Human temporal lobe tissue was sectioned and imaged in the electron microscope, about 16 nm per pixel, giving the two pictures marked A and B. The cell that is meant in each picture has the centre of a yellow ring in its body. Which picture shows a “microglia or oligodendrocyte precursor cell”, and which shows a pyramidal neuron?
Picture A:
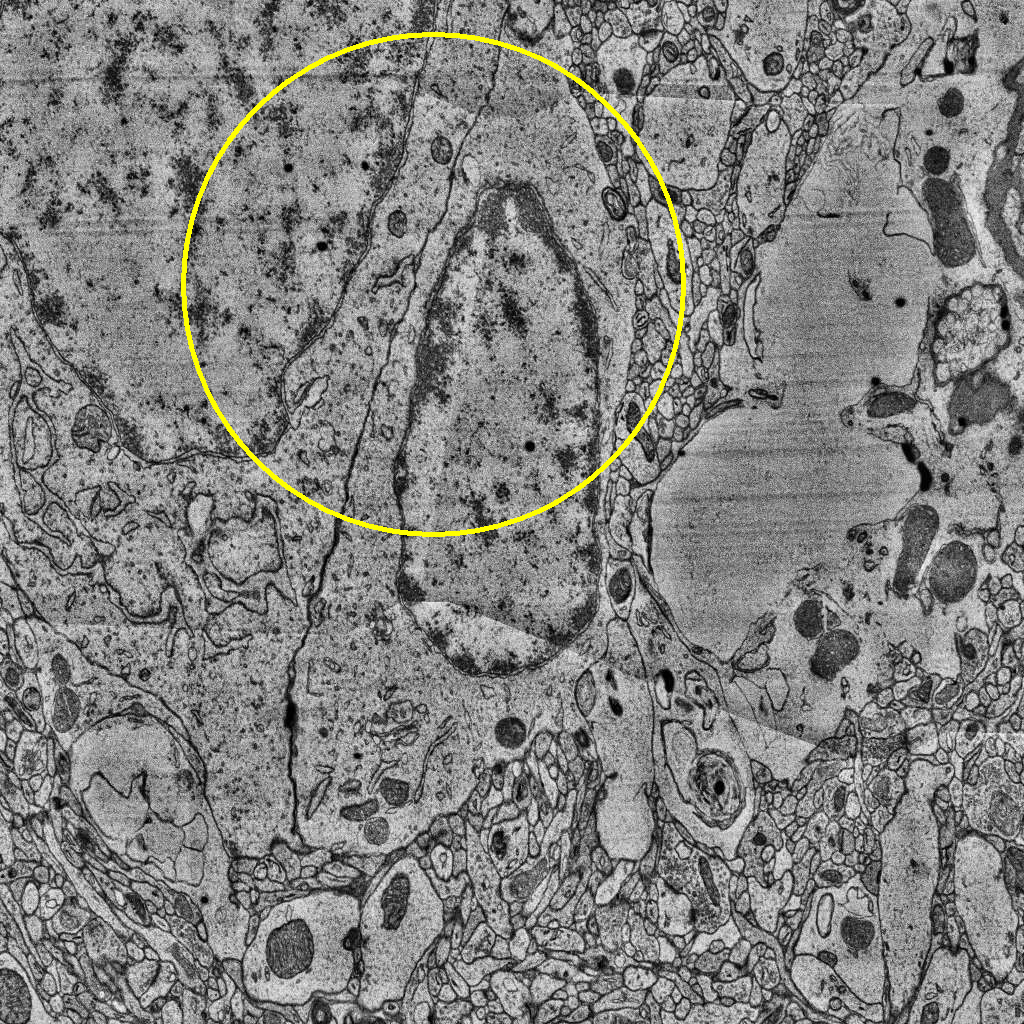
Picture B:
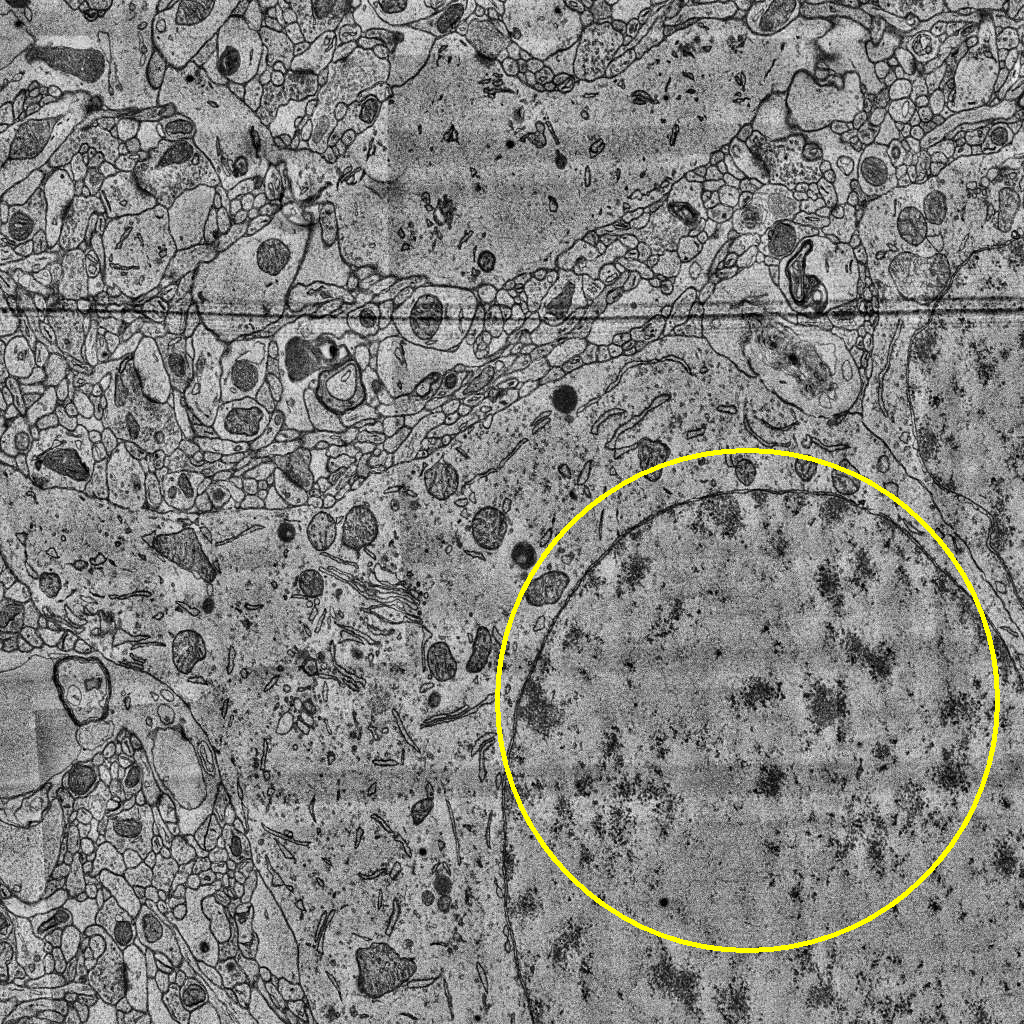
Picture A is of a “microglia or oligodendrocyte precursor cell”, and picture B is of a pyramidal neuron.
